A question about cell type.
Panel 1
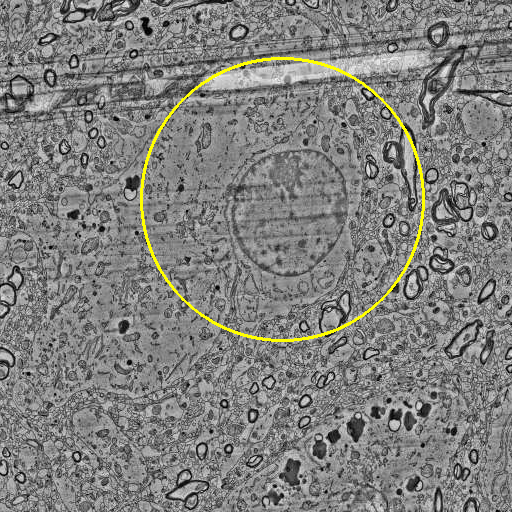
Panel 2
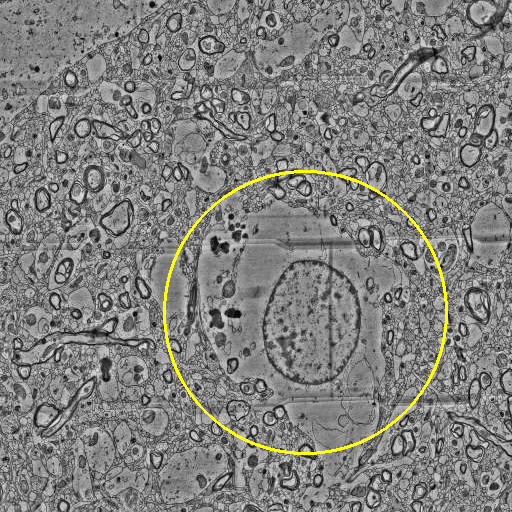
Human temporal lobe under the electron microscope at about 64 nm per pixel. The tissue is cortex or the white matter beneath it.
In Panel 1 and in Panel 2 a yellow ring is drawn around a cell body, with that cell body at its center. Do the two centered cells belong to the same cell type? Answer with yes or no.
yes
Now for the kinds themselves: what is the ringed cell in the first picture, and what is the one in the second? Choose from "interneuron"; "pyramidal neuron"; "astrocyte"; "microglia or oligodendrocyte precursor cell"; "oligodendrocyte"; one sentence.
Both pictures show an astrocyte at the centre of the ring.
